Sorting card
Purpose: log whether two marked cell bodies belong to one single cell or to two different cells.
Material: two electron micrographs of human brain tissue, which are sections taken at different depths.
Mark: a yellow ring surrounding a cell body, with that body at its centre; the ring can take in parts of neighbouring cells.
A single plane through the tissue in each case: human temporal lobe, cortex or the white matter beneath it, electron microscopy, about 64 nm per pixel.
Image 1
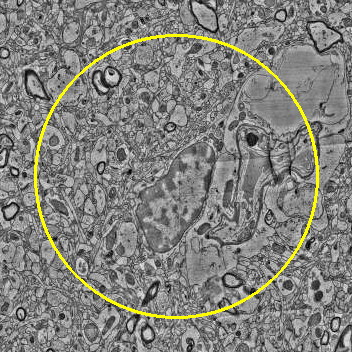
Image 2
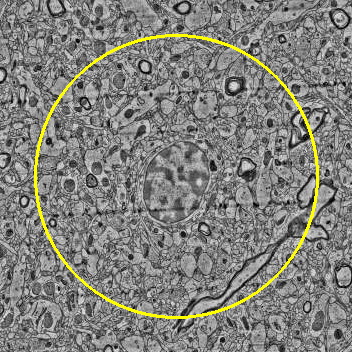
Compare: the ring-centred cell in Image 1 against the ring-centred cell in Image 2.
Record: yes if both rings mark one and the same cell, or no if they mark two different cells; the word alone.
no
